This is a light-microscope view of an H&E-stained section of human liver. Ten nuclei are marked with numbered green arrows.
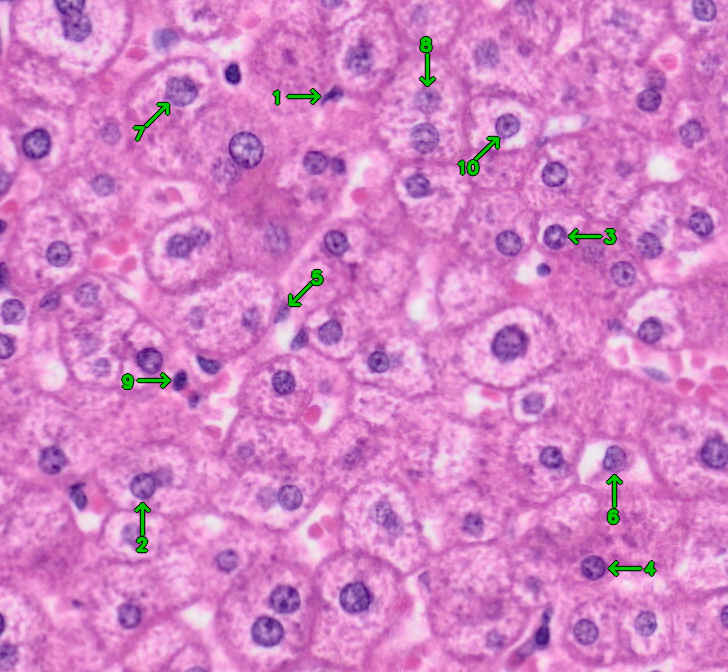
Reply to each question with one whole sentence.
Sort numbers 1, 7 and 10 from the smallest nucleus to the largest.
By area, going up from the smallest, they rank 1, 10, 7.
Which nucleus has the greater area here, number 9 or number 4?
Nucleus 4 covers more area, about 1.5 times as much as nucleus 9.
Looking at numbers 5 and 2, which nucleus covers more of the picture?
Of the two, number 2 is bigger and takes up about 3 times the area of number 5.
